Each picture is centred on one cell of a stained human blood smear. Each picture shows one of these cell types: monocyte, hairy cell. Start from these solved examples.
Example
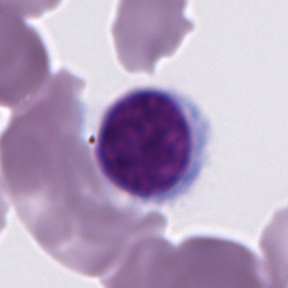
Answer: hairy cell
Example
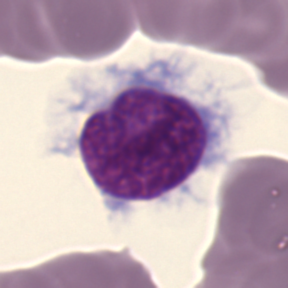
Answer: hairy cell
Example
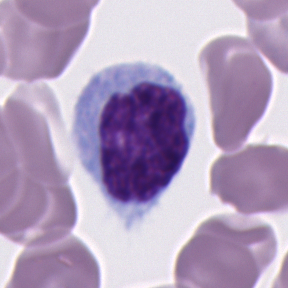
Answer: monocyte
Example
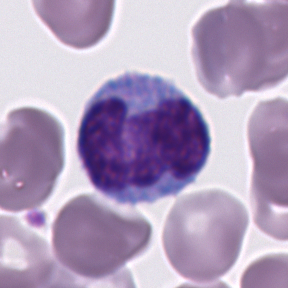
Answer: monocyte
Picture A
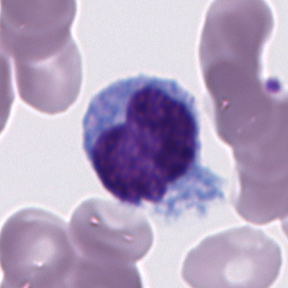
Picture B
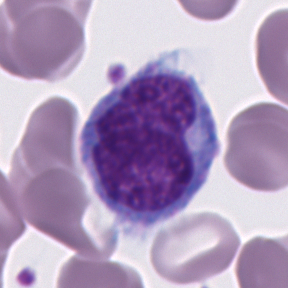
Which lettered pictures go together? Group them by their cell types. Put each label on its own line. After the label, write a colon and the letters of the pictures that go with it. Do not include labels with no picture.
monocyte: A, B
